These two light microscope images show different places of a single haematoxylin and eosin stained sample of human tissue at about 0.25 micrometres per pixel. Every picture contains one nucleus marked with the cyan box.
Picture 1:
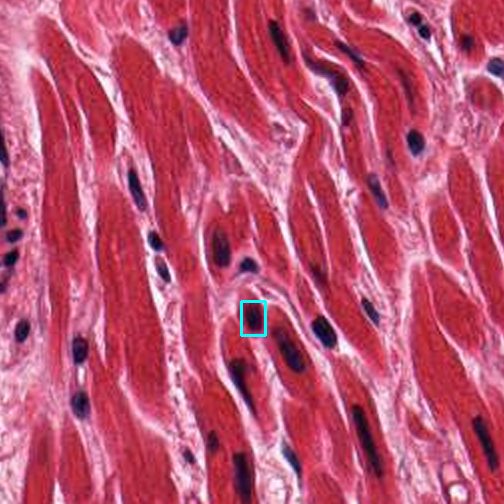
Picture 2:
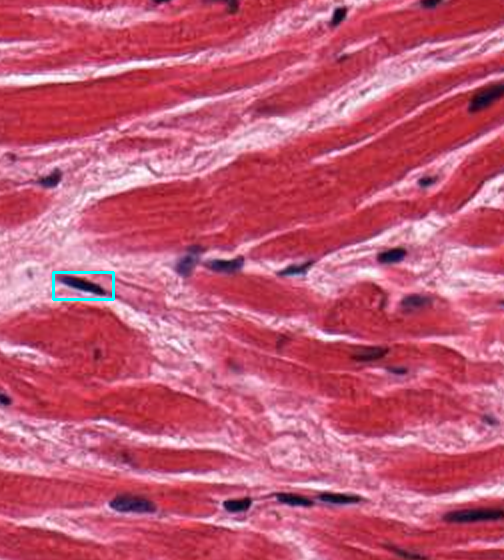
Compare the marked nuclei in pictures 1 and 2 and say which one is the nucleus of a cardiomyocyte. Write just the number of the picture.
1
